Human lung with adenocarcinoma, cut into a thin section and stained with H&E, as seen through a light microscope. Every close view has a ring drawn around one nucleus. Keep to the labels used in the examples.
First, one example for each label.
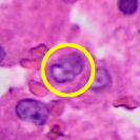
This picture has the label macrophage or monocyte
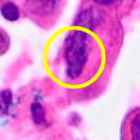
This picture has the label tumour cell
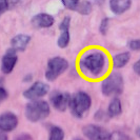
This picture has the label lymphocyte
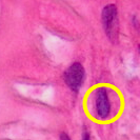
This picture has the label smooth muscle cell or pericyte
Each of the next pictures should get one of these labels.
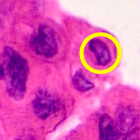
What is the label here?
macrophage or monocyte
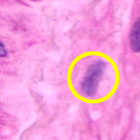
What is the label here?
smooth muscle cell or pericyte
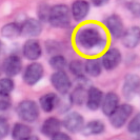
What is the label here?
lymphocyte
